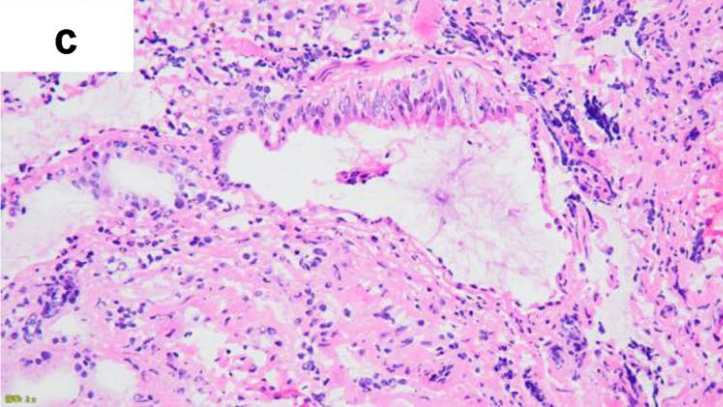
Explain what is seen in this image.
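This section shows a cyst wall lined by columnar epithelial cells. Loose pink stroma with scattered small round cells surrounds the lining.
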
